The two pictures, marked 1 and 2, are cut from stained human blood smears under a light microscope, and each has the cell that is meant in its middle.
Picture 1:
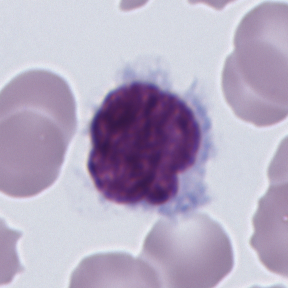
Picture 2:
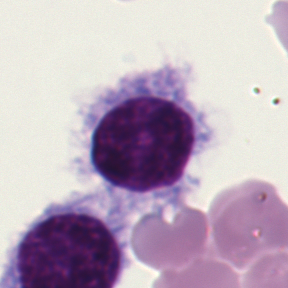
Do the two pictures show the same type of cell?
yes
